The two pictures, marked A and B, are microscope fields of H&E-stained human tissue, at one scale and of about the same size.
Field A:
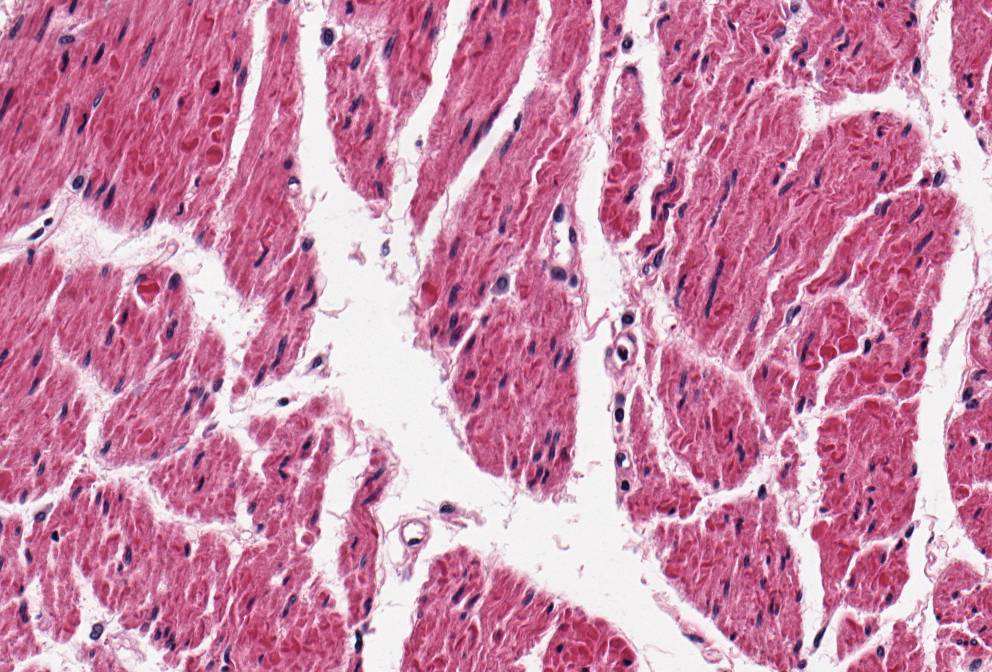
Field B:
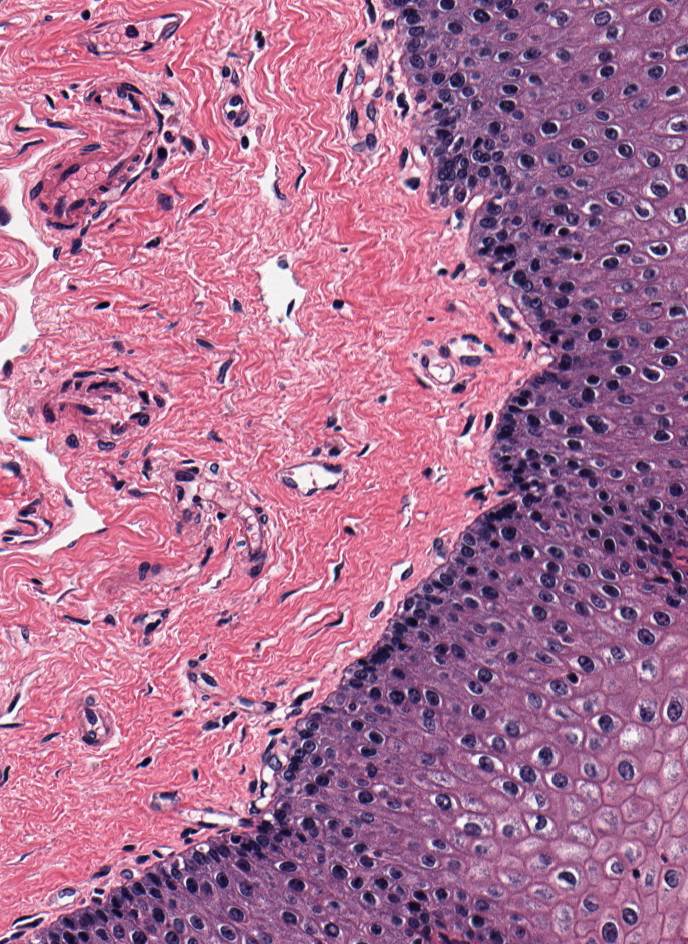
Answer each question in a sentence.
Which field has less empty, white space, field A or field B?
Field B has less white space.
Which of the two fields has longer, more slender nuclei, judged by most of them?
The nuclei are more elongated in field A.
